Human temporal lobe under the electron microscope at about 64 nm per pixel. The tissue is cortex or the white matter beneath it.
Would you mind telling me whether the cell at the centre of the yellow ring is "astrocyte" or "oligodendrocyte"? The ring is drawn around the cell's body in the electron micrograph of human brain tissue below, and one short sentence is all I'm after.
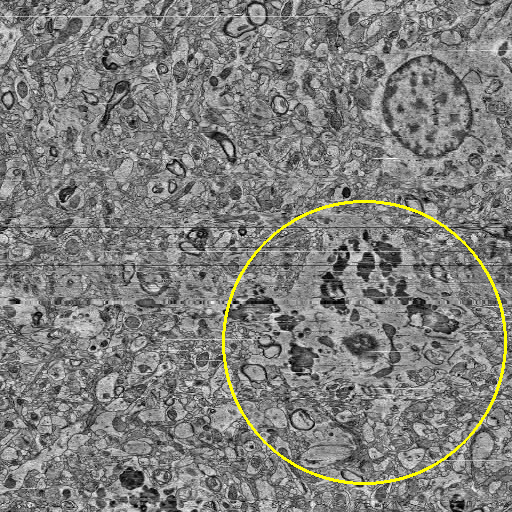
In the centre of the ring lies an astrocyte.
